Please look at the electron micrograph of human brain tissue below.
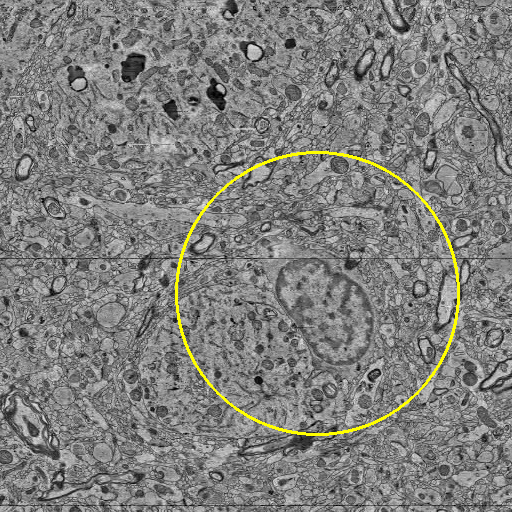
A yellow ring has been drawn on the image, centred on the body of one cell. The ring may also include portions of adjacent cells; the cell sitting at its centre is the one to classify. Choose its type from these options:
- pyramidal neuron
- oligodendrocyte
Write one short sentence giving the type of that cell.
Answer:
The cell in the middle of the ring is an oligodendrocyte.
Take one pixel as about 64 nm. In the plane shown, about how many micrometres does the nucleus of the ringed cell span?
The nucleus is approximately 8 micrometers long by 5 micrometers wide in this plane.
